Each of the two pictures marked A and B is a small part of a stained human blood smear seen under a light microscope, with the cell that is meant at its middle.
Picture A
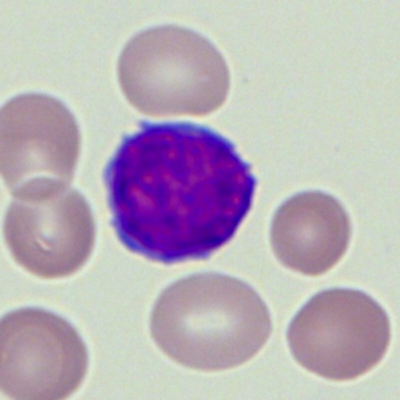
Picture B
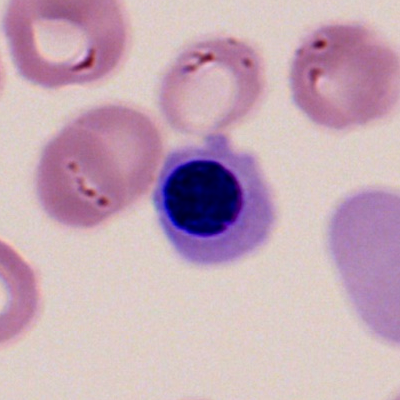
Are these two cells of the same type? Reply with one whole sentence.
No; the cell in picture A is a lymphocyte, while the one in picture B is an erythroblast.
